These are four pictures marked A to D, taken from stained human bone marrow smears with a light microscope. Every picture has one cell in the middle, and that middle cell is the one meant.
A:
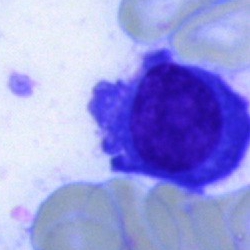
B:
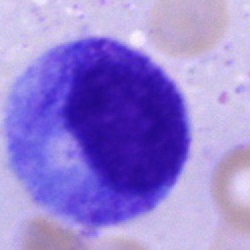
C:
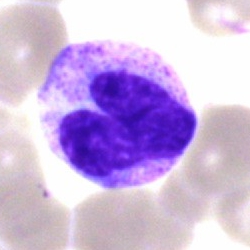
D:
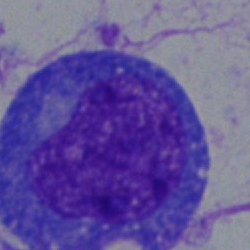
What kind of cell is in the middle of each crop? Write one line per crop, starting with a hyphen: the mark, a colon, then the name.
- A: plasma cell
- B: promyelocyte
- C: band neutrophil
- D: blast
